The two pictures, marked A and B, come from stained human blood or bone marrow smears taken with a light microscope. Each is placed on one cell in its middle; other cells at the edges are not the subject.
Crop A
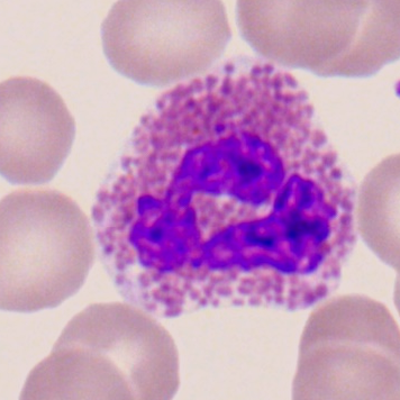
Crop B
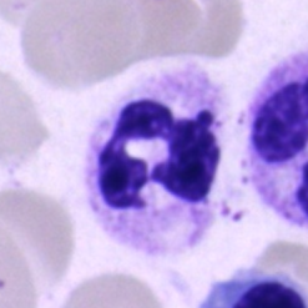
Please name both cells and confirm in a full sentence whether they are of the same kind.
No, crop A carries an eosinophil at its centre, and crop B carries a neutrophil.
